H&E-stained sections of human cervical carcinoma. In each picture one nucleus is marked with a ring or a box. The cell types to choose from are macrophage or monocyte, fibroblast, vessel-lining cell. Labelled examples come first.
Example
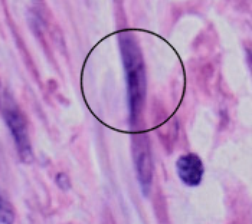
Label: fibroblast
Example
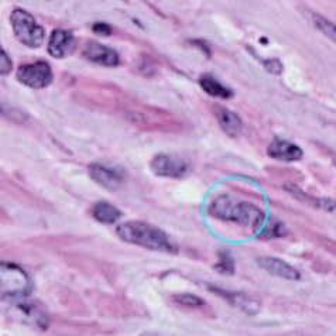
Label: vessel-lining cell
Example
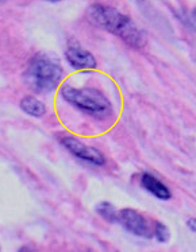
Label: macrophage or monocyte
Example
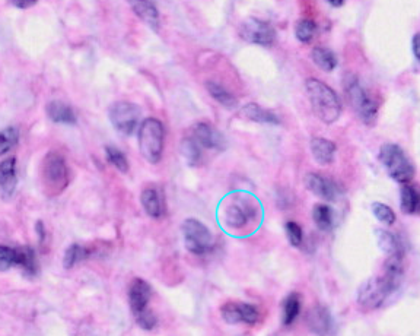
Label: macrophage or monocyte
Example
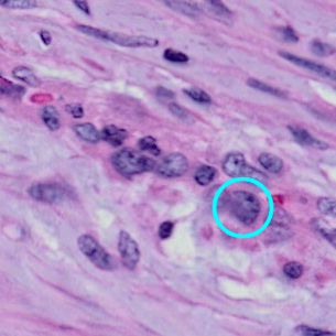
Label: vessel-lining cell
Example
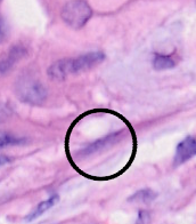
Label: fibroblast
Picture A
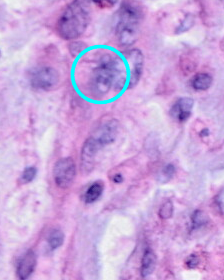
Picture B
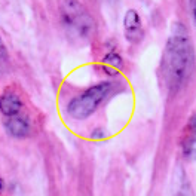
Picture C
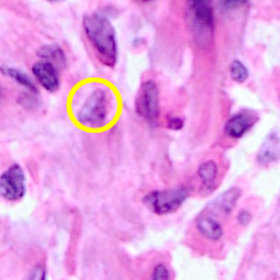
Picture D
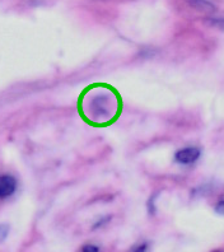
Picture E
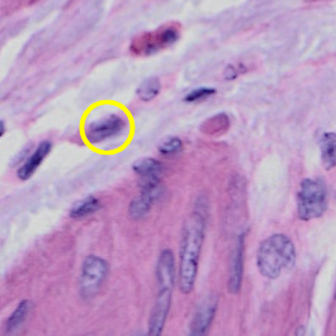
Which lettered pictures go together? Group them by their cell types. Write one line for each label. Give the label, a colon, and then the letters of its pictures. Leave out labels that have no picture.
macrophage or monocyte: B, C, D, E
vessel-lining cell: A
